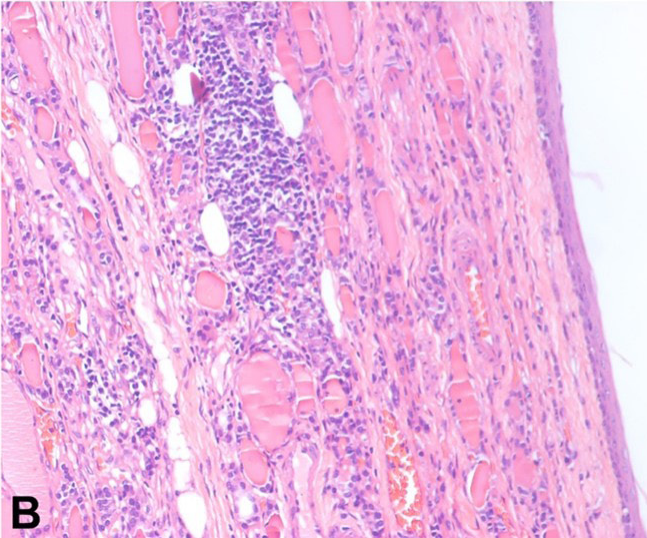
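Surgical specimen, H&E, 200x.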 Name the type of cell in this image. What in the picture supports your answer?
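Lymphocytes. Small round cells with dark round nuclei and scant cytoplasm. They are packed densely in the centre and scattered between follicles.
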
